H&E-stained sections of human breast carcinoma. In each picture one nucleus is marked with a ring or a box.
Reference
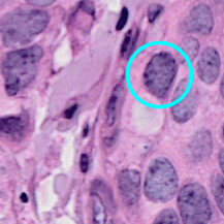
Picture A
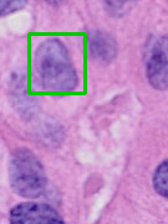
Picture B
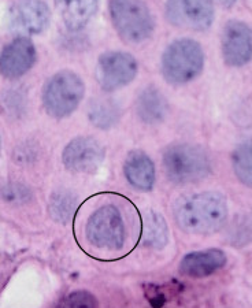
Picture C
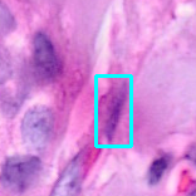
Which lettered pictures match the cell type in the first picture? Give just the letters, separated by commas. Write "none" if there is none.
A, B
